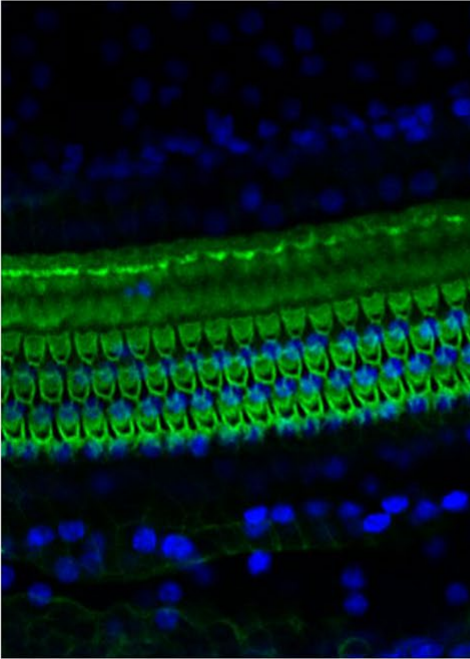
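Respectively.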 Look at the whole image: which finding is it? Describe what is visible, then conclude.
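The three lower rows of V-shaped bundles are continuous, with no gaps across the field. The upper row of bundles is also unbroken.
Hence: No hair cell loss.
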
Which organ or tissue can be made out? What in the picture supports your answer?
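Blue nuclei lie scattered above and below the bundle rows. That points to this answer: organ of Corti.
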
